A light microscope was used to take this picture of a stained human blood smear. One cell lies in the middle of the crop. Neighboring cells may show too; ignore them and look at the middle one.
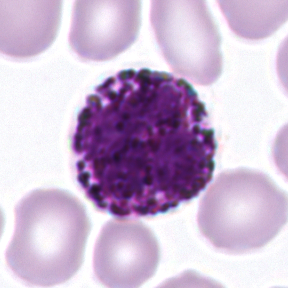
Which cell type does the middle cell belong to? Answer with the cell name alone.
basophil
